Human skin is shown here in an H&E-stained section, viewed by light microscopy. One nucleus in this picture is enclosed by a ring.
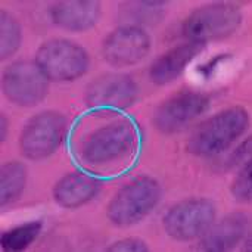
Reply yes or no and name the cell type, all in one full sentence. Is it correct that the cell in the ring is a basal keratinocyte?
No, the correct identification of the cell in the ring is a suprabasal keratinocyte, not a basal keratinocyte.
